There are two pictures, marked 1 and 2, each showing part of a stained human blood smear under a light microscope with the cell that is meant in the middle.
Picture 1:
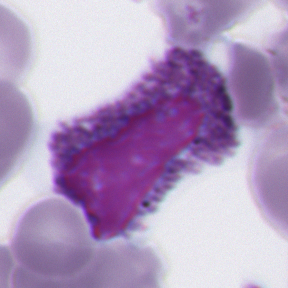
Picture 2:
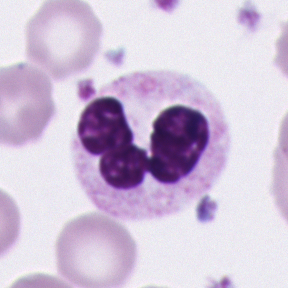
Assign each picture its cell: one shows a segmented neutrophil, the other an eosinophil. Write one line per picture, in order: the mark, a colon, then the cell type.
1: eosinophil
2: segmented neutrophil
